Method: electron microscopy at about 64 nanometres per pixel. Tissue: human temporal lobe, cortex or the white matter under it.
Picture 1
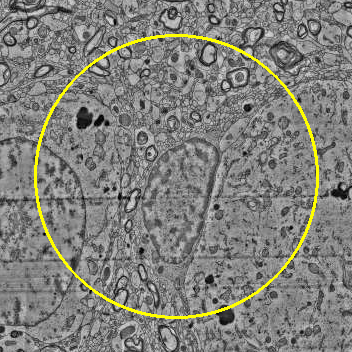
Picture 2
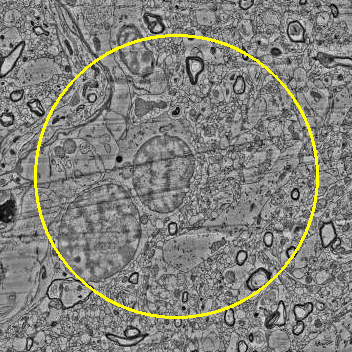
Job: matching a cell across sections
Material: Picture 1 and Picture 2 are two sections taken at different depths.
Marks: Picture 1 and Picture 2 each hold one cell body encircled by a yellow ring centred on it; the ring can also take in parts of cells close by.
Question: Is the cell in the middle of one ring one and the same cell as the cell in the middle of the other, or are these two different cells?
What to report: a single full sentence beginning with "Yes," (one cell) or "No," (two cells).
No, the yellow rings are placed on two separate cells.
